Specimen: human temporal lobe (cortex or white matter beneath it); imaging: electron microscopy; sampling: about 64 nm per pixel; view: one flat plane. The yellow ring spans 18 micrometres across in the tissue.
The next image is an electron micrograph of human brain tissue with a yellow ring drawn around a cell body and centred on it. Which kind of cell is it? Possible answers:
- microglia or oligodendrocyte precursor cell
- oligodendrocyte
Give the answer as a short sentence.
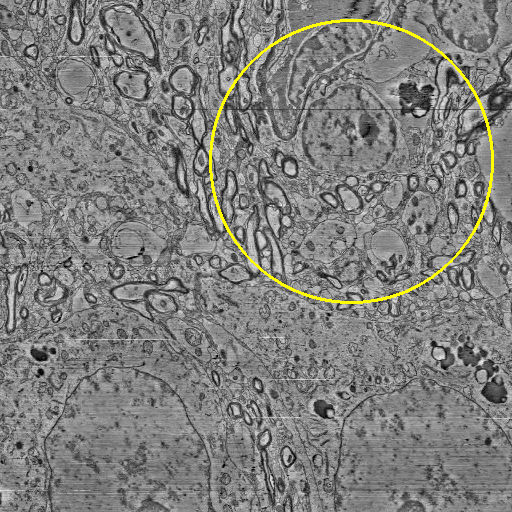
In the ring's centre is a microglial cell or oligodendrocyte precursor cell.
